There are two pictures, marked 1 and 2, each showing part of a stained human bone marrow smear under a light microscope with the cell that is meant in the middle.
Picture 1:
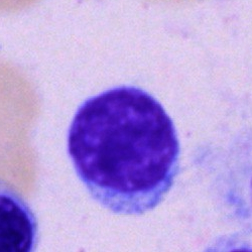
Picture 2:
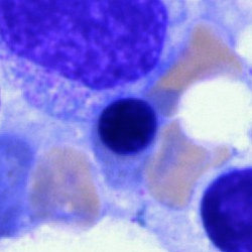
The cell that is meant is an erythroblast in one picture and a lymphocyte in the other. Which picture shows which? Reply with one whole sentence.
The cell in picture 1 is a lymphocyte, and the one in picture 2 is an erythroblast.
